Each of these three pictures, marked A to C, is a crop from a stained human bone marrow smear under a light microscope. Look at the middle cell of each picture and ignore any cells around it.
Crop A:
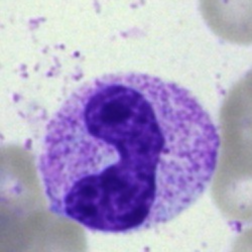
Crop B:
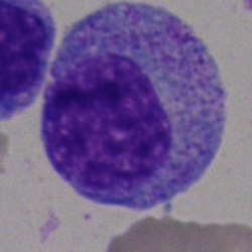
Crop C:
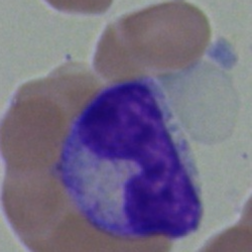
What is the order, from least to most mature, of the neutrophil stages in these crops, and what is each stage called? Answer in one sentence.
The crops, ordered from least to most mature, are crop B (a myelocyte), crop C (a metamyelocyte) and crop A (a band neutrophil).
